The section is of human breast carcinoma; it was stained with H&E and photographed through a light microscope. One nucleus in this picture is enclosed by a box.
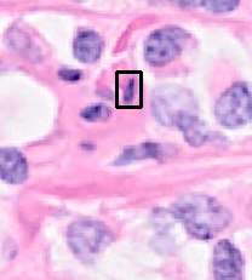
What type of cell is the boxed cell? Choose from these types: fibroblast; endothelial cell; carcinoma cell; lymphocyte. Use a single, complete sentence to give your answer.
Microscopically, the boxed cell is categorized as an endothelial cell.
